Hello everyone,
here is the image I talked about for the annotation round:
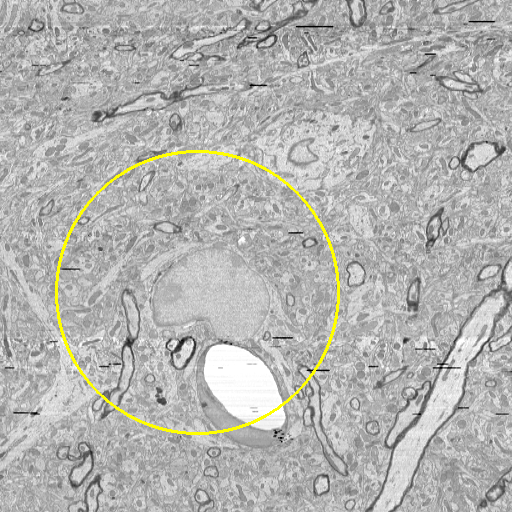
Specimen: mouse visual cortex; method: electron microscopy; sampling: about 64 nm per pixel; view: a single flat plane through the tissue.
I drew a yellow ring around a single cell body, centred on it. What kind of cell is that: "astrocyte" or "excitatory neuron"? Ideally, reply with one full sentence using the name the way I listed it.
The cell your yellow ring is centred on is an astrocyte, going by your list.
